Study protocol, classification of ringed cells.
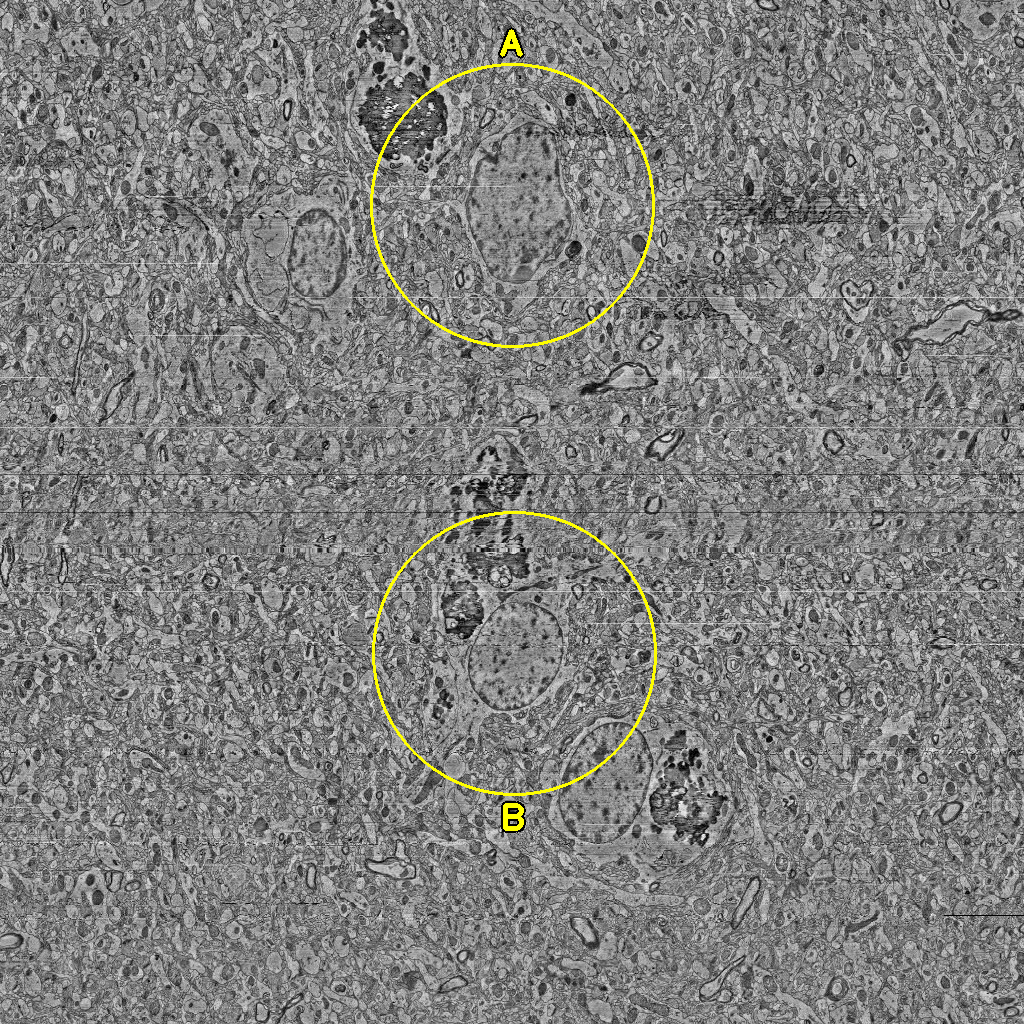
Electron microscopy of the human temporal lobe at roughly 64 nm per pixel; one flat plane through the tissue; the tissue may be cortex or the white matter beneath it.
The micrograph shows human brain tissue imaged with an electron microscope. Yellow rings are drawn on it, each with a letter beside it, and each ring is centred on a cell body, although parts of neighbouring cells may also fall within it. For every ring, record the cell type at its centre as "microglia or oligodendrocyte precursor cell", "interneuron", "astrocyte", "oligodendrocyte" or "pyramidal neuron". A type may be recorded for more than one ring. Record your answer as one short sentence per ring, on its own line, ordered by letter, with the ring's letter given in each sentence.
Ring A has been centred on a microglial cell or oligodendrocyte precursor cell.
Ring B has been centred on an astrocyte.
